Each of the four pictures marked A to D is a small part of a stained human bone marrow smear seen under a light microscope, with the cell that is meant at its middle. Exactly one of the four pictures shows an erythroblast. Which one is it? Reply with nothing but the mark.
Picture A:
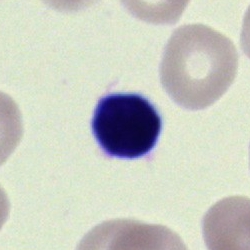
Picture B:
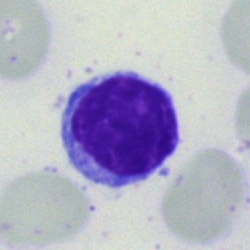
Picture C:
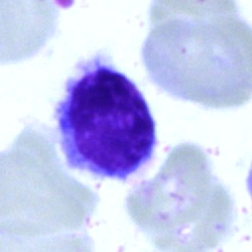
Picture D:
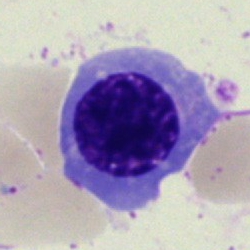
D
